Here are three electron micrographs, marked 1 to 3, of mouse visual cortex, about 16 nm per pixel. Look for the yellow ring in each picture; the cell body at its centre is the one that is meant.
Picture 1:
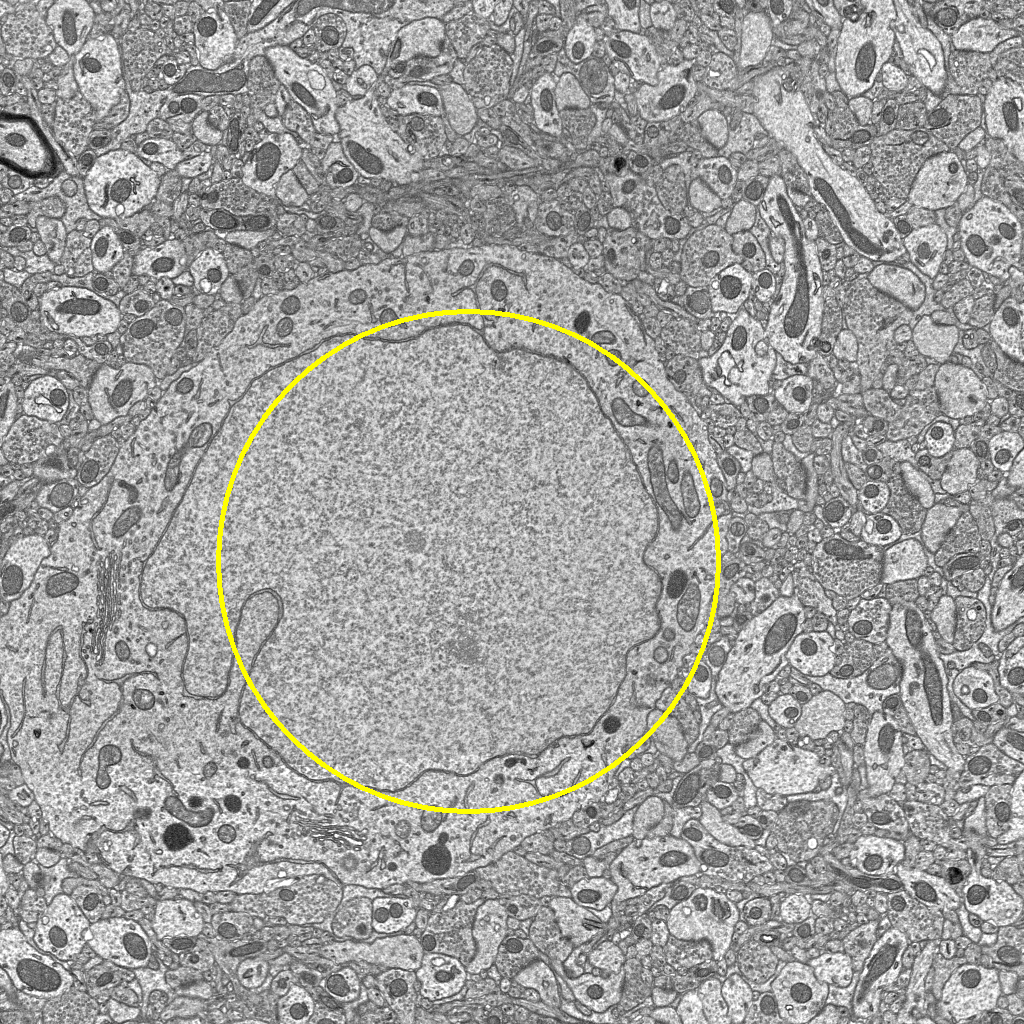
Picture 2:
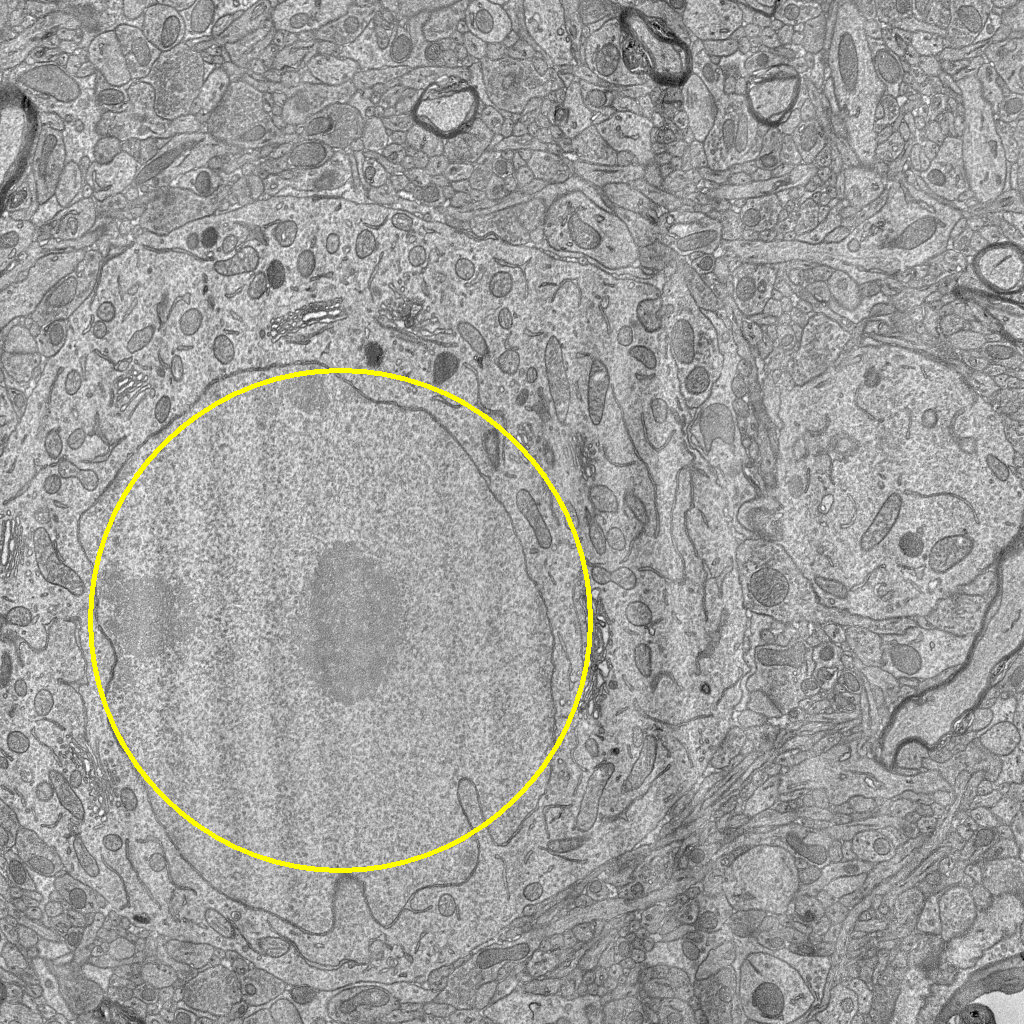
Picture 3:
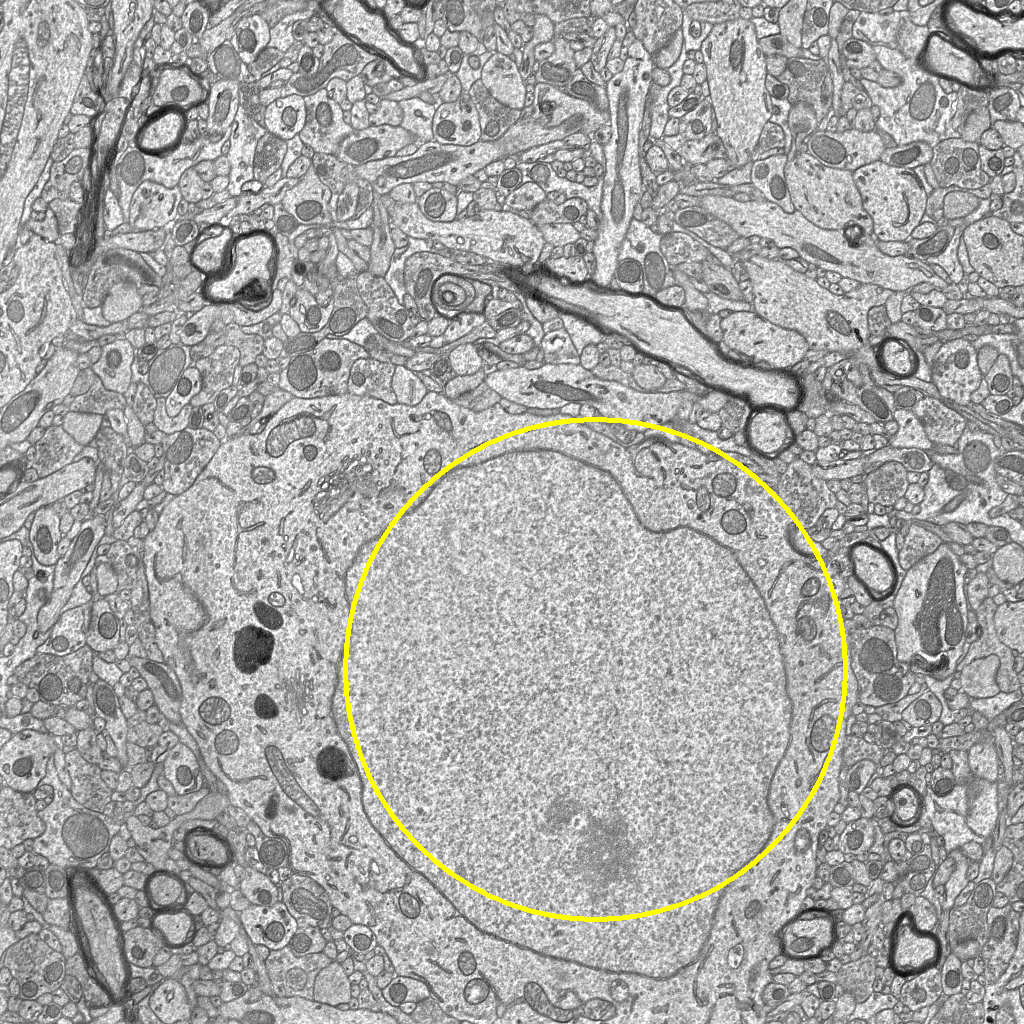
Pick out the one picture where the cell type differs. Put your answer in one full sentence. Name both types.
Unlike the rest, which show inhibitory neurons, picture 3 shows an excitatory neuron.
